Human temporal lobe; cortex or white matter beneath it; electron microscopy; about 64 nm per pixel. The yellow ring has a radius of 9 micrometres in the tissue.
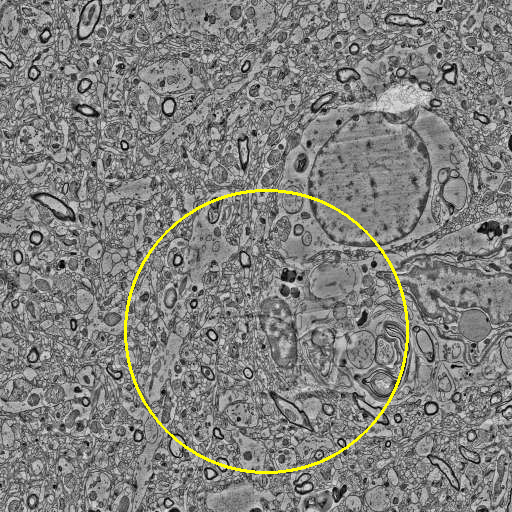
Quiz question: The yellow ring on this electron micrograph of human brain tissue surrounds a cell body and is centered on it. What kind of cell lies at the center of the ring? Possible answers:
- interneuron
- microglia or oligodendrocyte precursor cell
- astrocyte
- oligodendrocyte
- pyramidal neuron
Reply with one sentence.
The ring's center lies on a microglial cell or oligodendrocyte precursor cell.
